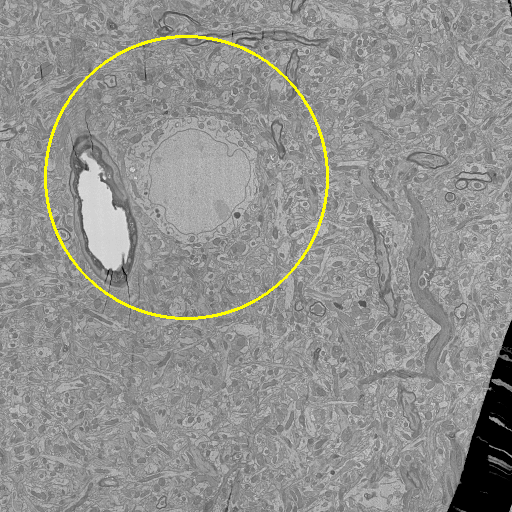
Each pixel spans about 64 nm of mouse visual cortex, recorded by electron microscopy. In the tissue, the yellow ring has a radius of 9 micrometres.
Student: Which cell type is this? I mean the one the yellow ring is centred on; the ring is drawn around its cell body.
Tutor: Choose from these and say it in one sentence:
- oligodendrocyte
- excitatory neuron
The cell the ring is centred on is an excitatory neuron.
